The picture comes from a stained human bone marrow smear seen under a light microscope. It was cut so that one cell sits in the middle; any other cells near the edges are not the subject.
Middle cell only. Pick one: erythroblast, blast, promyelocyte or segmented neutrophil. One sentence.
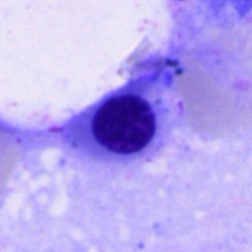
Seen at the centre of the crop is an erythroblast.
